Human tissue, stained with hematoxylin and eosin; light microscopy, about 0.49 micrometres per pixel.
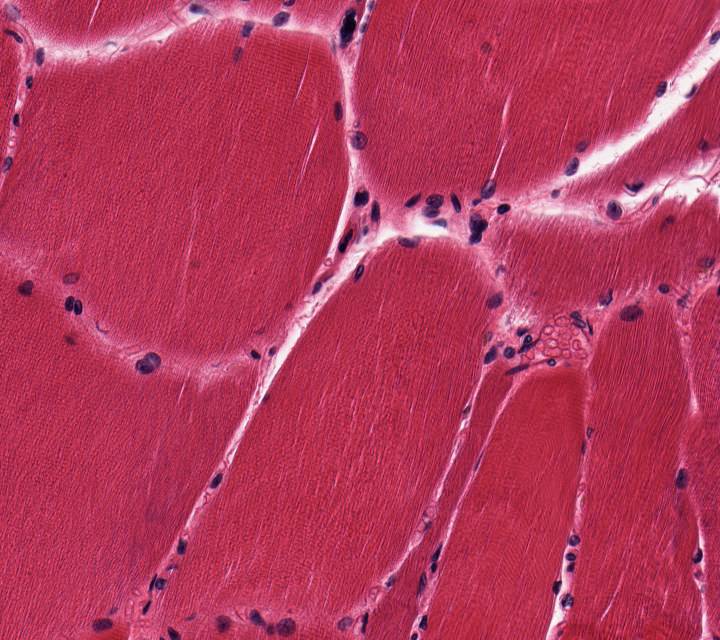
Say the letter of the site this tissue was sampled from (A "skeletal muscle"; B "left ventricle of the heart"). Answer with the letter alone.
A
